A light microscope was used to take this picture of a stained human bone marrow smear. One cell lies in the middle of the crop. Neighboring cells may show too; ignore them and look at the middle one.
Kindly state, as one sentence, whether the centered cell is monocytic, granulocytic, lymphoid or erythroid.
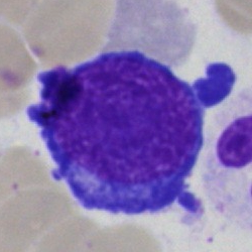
The lineage to which the central cell belongs is erythroid.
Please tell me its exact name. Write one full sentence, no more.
The middle cell in this particular crop is a proerythroblast.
